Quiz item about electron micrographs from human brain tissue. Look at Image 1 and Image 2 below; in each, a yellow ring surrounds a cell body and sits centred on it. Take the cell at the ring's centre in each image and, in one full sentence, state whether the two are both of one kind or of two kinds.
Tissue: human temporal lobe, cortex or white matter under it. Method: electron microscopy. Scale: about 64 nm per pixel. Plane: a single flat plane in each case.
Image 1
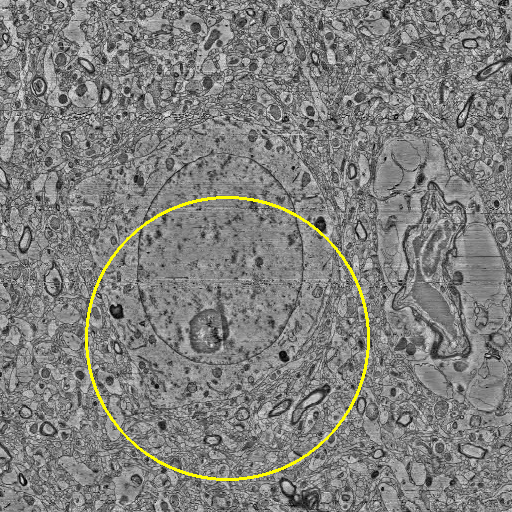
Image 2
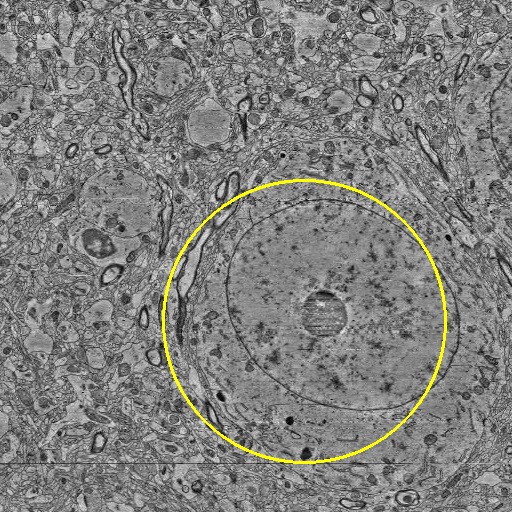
In Image 1 and Image 2, the cells at the ring centres are both of one kind.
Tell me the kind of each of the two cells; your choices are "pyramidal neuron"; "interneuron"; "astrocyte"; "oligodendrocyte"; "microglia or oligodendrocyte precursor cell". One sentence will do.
The cell at the ring centre is a pyramidal neuron in both pictures.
